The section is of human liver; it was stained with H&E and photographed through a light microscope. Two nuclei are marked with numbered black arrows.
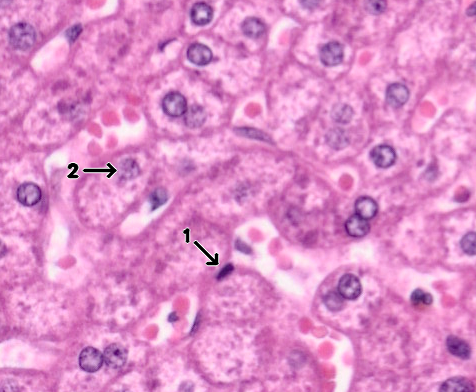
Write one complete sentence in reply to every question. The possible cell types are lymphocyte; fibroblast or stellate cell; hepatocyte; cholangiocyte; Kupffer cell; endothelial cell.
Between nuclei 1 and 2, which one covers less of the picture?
Nucleus 1 covers less area, with nucleus 2 about 2.5 times as large.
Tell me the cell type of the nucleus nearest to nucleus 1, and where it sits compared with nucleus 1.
Just above and to the right of nucleus 1 lies the nearest nucleus, which belongs to a Kupffer cell.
